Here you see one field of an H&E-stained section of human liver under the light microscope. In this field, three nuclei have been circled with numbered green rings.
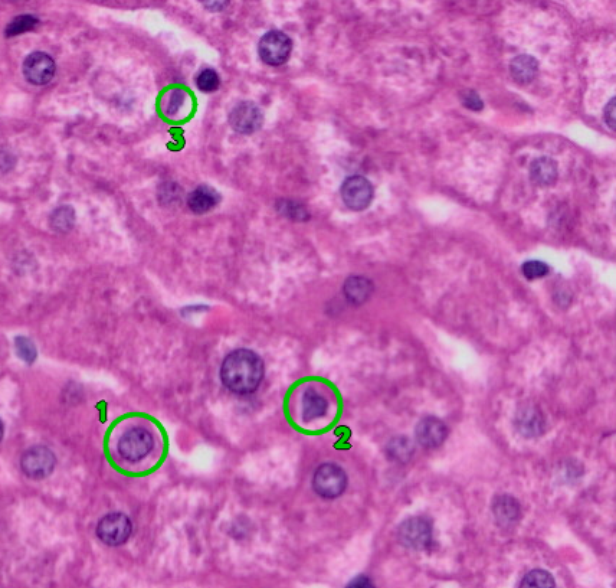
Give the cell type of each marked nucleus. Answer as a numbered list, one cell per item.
1. hepatocyte
2. endothelial cell
3. Kupffer cell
